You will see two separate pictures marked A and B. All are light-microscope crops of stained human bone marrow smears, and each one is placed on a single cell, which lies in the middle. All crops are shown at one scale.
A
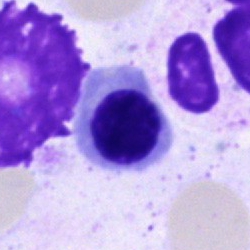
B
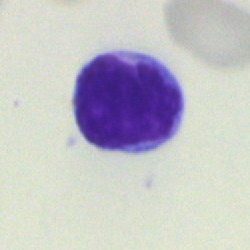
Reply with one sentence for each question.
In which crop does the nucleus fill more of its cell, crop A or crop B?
In crop B the nucleus takes up the larger part of its cell.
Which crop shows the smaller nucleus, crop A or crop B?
Crop A shows the smaller nucleus, since that in crop B covers about 2 times as much area.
